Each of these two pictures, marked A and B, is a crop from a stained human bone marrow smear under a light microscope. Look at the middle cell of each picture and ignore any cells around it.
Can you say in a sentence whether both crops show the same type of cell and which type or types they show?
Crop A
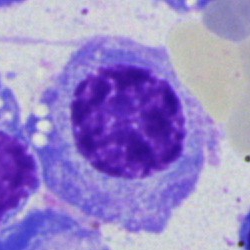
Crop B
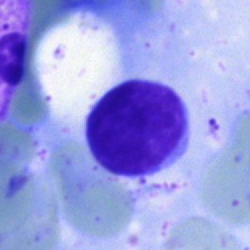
No, enter a plasma cell for crop A and a lymphocyte for crop B.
